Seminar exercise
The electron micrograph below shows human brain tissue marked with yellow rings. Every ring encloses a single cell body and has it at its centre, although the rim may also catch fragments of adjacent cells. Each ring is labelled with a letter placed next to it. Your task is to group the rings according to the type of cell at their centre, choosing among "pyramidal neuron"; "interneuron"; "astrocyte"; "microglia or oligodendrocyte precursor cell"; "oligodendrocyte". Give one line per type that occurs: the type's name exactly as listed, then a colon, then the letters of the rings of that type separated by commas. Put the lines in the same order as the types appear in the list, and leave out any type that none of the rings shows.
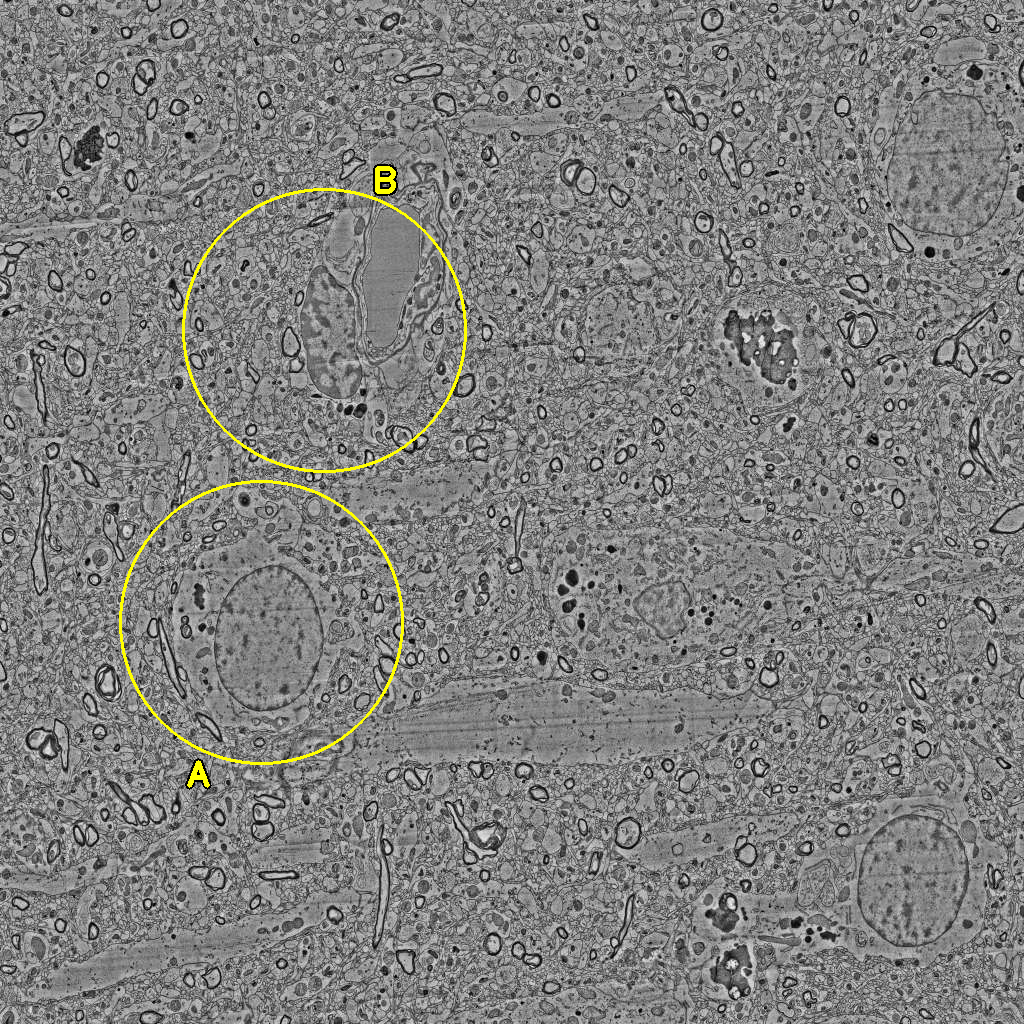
astrocyte: A
microglia or oligodendrocyte precursor cell: B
